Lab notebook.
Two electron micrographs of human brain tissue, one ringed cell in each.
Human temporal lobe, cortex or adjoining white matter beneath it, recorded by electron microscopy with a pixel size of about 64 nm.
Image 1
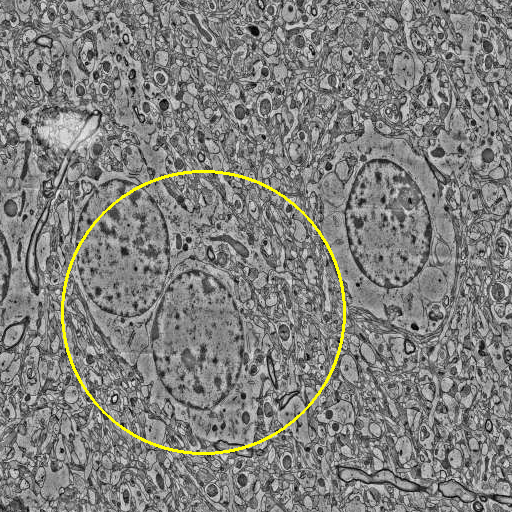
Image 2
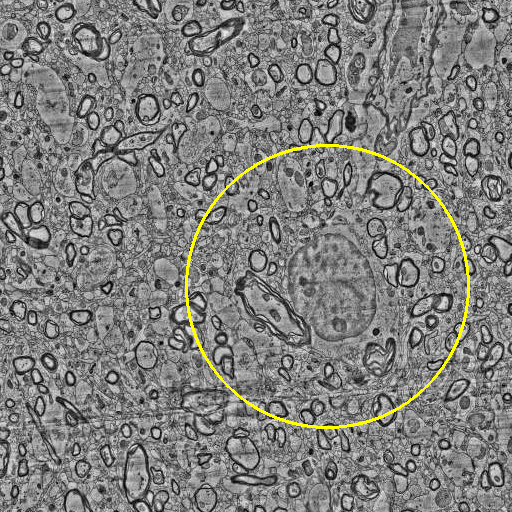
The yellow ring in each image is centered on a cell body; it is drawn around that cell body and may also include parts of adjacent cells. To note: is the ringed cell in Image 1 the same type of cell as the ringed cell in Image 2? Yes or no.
no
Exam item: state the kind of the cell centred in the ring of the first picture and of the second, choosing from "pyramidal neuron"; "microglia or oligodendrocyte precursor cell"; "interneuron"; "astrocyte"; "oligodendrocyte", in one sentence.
The first picture shows an astrocyte at the ring centre and the second shows an oligodendrocyte.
